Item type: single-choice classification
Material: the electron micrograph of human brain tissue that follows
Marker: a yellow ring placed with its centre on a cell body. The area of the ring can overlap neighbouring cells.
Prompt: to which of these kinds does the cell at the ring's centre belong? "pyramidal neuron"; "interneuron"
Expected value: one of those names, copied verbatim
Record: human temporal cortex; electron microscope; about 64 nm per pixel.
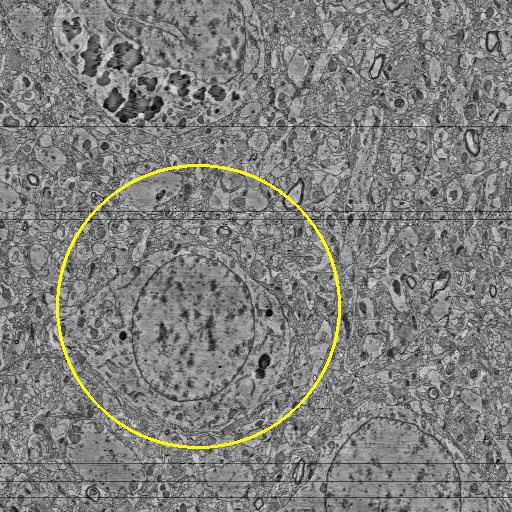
pyramidal neuron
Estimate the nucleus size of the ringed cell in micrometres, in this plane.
In this plane, about 10 micrometres in length and 8 in width.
